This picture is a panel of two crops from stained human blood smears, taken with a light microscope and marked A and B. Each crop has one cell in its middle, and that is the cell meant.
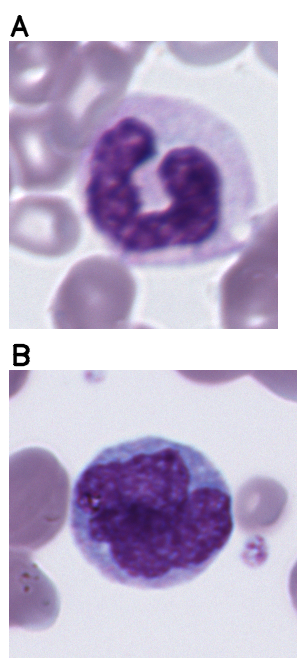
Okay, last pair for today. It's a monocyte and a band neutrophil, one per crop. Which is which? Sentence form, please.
Crop A is a band neutrophil, with crop B being a monocyte.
